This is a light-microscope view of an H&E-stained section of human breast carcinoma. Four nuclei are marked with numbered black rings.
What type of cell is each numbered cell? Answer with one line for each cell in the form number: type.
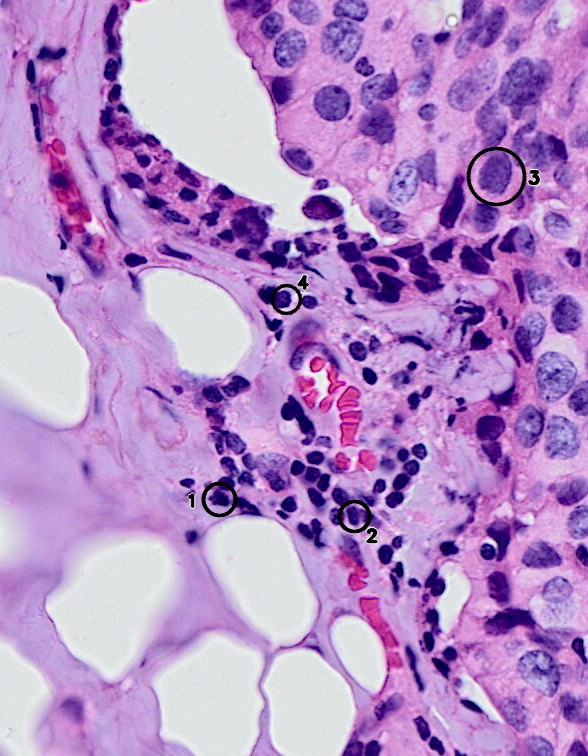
1: lymphocyte
2: lymphocyte
3: carcinoma cell
4: lymphocyte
